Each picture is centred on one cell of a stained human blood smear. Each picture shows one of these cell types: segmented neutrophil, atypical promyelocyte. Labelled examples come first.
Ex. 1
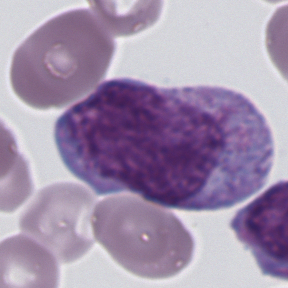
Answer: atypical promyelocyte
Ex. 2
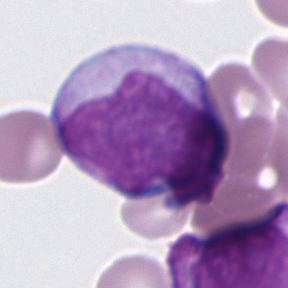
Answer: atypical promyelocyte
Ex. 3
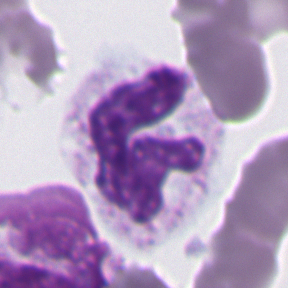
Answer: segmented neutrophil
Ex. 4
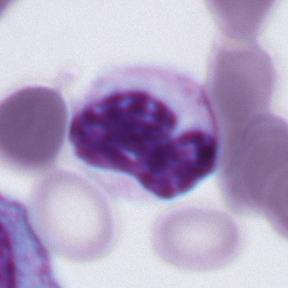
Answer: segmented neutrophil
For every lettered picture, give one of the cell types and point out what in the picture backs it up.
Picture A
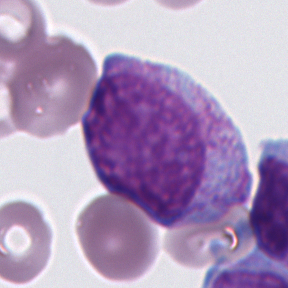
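Label: atypical promyelocyte. The nucleus fills most of the cell.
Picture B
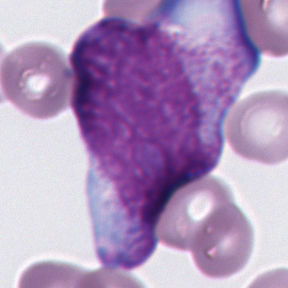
Label: atypical promyelocyte. The nucleus fills most of the cell.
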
